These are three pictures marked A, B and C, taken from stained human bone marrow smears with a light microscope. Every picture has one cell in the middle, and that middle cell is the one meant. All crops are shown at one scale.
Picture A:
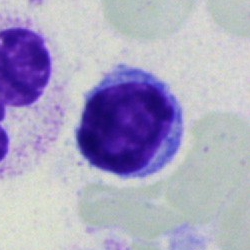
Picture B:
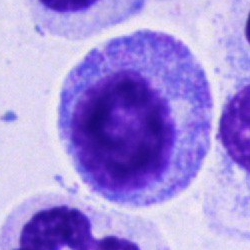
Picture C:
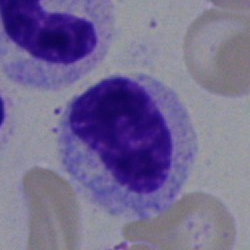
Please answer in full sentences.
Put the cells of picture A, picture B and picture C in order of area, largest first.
Going down, they run B, C, A.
